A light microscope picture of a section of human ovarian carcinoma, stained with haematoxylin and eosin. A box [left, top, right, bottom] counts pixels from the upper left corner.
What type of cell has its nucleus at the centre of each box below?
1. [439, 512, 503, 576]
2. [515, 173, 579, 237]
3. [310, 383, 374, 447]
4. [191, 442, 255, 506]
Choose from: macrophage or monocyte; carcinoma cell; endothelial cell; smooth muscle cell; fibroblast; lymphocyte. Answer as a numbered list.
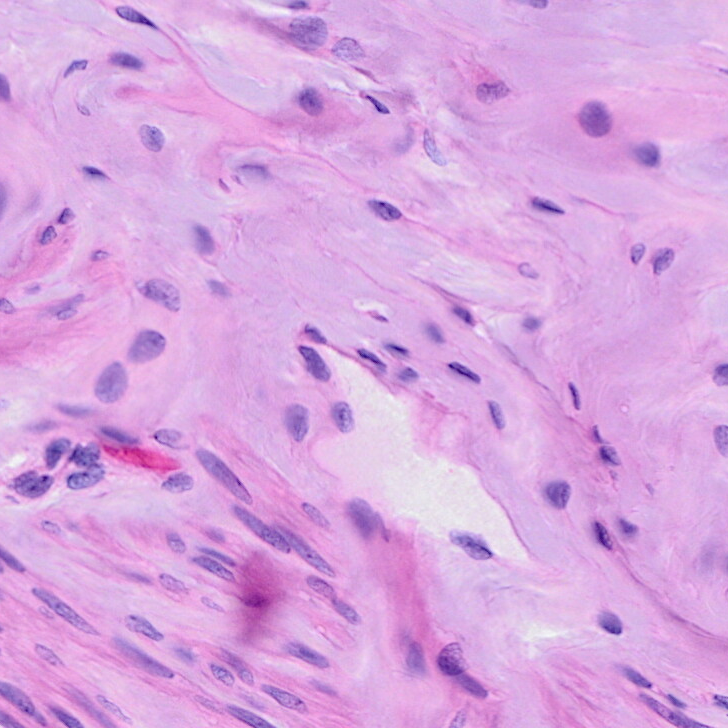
1. endothelial cell
2. fibroblast
3. endothelial cell
4. smooth muscle cell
